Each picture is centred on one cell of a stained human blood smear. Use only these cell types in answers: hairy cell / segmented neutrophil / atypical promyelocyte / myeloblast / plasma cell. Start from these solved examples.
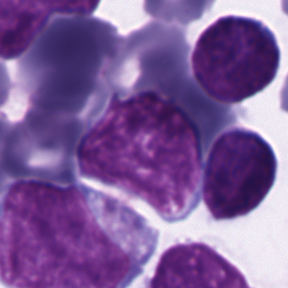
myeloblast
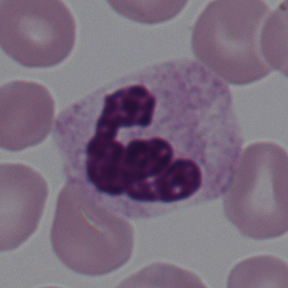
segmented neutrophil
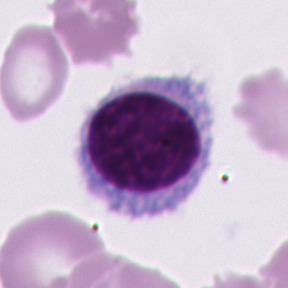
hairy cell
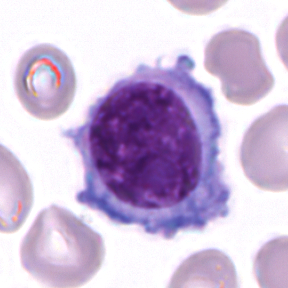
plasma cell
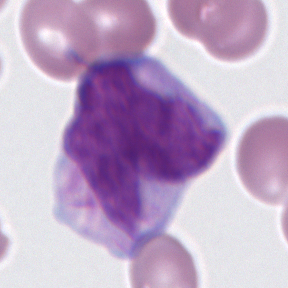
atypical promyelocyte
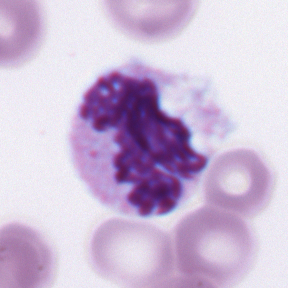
segmented neutrophil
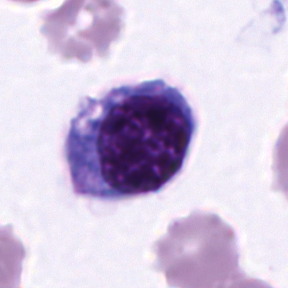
plasma cell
